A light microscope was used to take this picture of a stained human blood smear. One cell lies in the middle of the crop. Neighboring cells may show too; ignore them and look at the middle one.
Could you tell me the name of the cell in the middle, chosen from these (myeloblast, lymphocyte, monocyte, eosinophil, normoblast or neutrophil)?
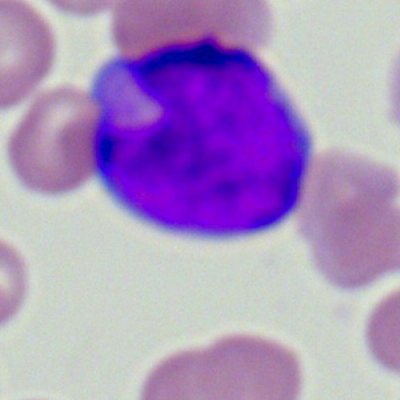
myeloblast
